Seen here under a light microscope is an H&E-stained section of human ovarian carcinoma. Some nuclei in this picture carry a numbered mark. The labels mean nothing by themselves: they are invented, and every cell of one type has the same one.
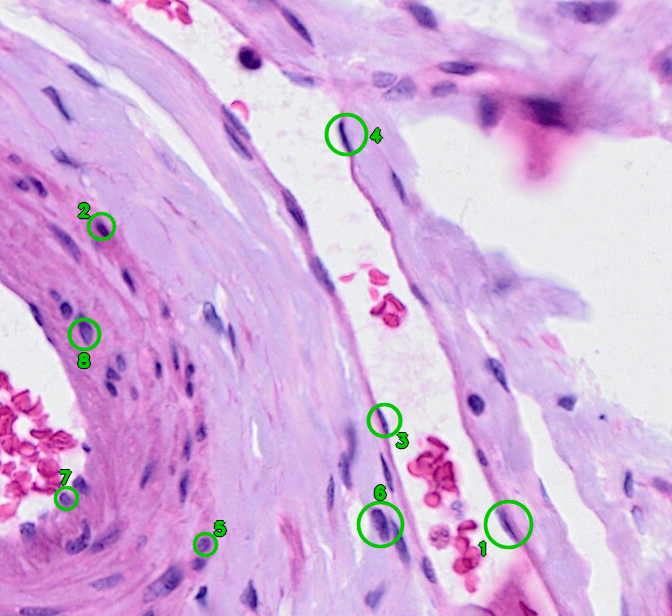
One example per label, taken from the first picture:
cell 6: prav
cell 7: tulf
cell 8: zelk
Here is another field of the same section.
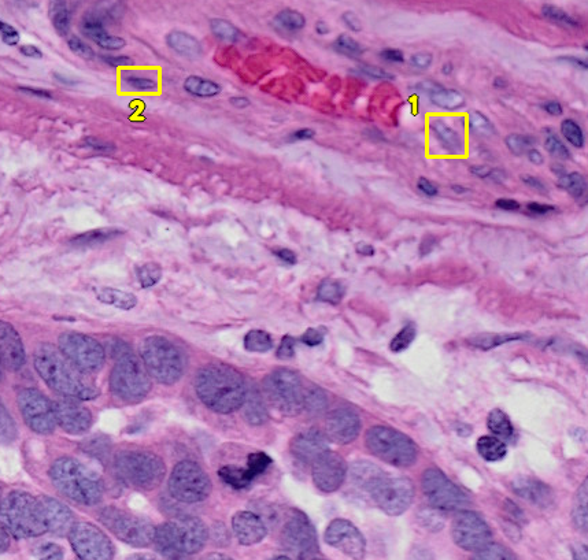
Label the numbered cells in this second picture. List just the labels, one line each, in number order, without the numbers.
tulf
zelk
